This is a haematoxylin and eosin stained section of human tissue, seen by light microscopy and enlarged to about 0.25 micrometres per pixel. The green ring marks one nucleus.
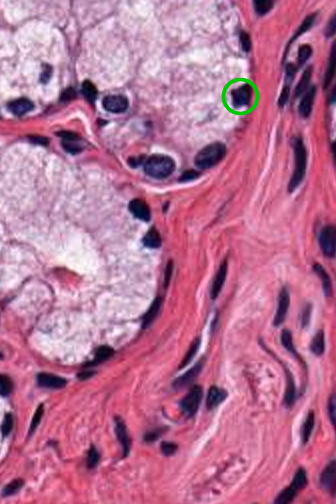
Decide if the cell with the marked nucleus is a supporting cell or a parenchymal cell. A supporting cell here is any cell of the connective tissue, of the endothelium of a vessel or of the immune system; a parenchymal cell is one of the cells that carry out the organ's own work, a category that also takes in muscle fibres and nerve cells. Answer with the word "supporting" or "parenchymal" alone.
parenchymal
